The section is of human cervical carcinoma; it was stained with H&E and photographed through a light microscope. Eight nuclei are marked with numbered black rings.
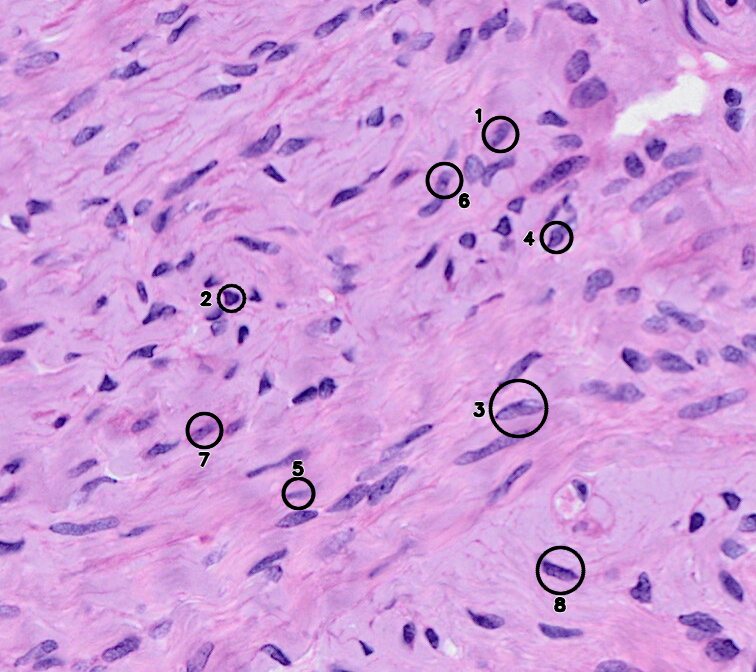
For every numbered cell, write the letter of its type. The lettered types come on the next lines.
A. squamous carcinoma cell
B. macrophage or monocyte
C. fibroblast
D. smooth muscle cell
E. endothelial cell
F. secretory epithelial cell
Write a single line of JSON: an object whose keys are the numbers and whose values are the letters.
{"1": "D", "2": "C", "3": "C", "4": "C", "5": "C", "6": "D", "7": "D", "8": "C"}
